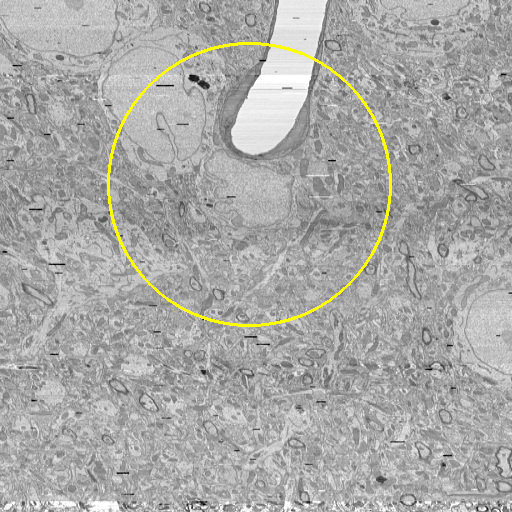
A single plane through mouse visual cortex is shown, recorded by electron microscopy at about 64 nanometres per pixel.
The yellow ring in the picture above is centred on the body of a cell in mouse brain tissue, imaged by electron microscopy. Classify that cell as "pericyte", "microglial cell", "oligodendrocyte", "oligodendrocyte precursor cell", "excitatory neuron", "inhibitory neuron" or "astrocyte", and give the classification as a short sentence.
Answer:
The cell in the middle of the ring is an oligodendrocyte precursor cell.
